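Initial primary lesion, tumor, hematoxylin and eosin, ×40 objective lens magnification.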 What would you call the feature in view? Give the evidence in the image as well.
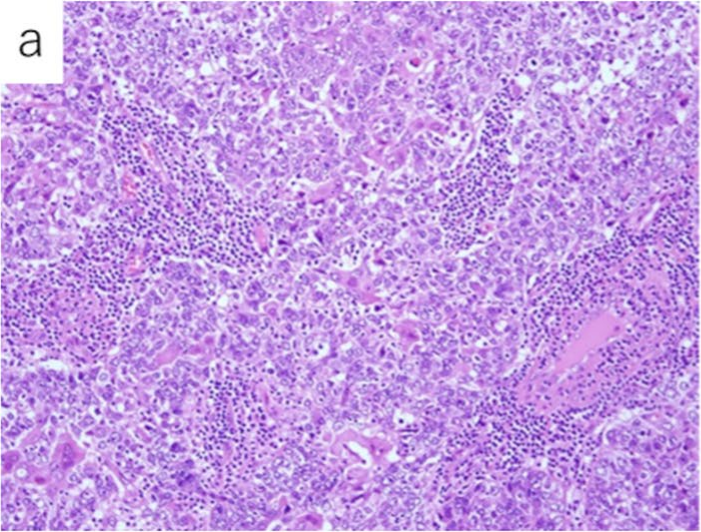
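Large tumor cells lie packed together in broad continuous sheets. No glandular lumina lined by tumor cells are seen.
Hence: solid cell sheets.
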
